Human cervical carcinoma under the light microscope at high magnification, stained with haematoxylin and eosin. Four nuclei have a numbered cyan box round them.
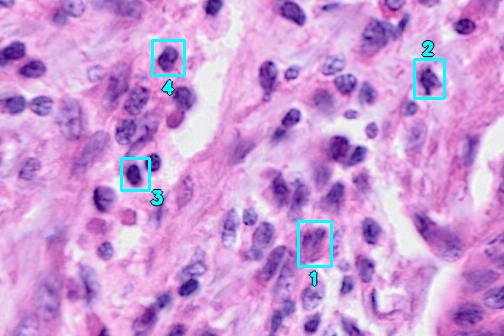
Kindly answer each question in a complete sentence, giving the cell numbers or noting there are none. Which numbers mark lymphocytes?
Cells 2, 3 and 4 are lymphocytes by cell type.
